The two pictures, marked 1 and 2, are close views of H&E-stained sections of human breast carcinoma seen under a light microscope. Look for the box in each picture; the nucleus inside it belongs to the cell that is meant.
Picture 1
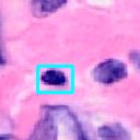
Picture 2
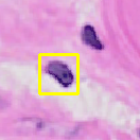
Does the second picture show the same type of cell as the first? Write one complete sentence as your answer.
Yes; the cells in both pictures are lymphocytes.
